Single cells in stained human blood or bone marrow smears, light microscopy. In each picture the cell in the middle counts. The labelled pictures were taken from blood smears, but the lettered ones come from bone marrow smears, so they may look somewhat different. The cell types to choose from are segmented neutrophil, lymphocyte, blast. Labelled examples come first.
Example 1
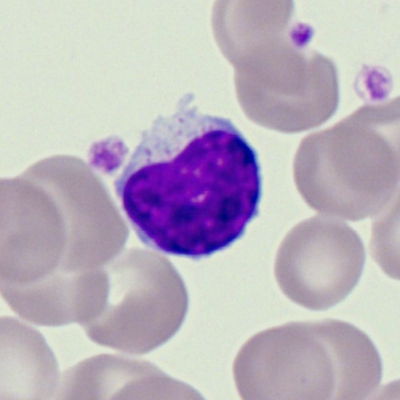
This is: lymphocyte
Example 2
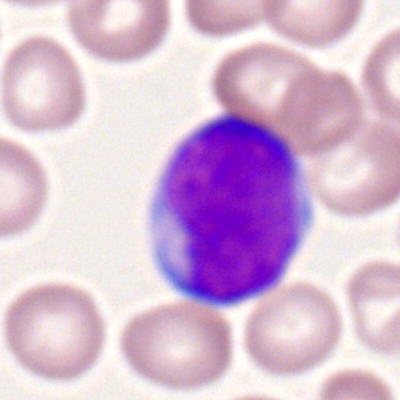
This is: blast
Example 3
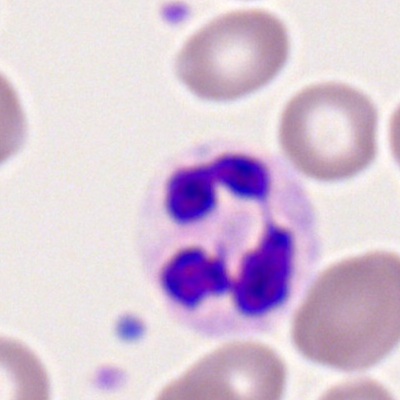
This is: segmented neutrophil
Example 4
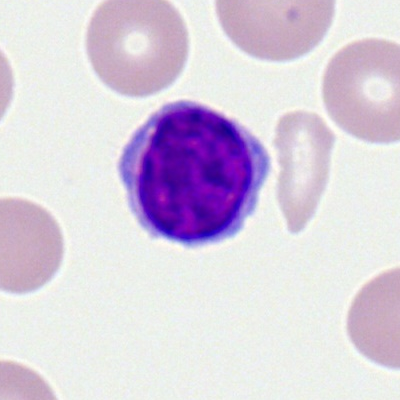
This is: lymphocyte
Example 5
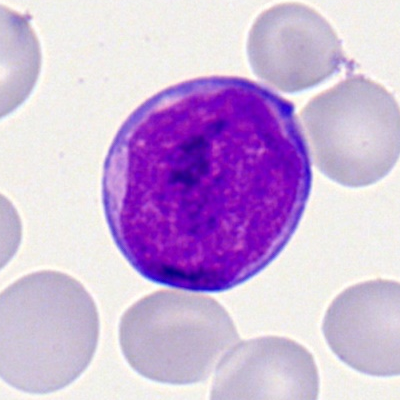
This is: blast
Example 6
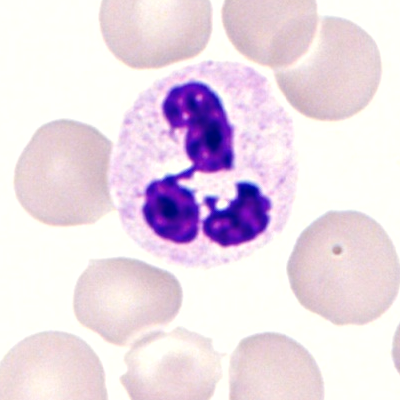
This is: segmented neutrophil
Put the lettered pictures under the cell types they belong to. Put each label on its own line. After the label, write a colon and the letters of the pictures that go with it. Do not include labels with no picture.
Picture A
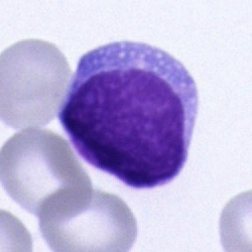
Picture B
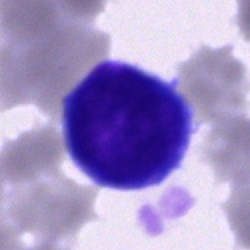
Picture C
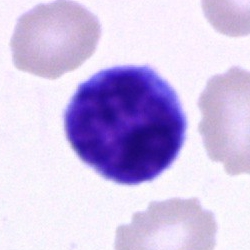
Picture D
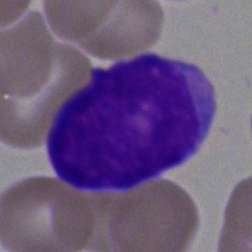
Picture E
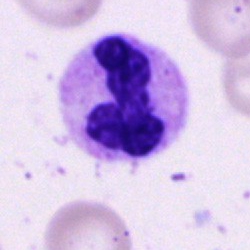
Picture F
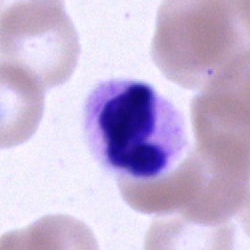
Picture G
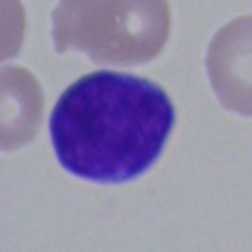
segmented neutrophil: E, F
lymphocyte: C
blast: A, B, D, G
